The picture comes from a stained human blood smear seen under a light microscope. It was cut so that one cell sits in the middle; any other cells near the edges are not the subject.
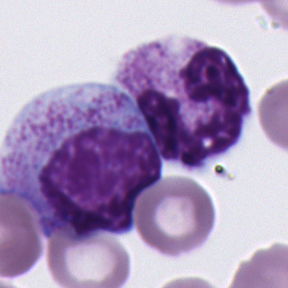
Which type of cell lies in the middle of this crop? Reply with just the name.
myelocyte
